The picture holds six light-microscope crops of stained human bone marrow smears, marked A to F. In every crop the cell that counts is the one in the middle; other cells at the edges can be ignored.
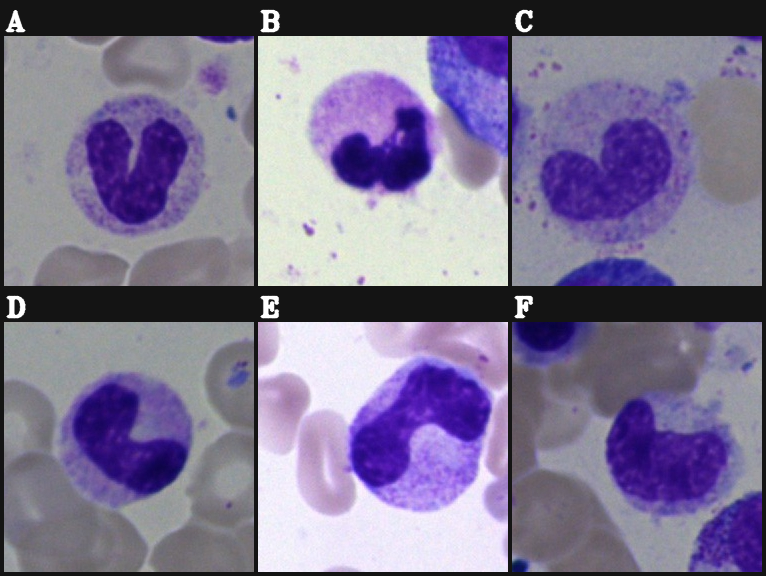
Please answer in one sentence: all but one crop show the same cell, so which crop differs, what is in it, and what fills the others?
Crop B is a segmented neutrophil, while the rest of the set consists of band neutrophils.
